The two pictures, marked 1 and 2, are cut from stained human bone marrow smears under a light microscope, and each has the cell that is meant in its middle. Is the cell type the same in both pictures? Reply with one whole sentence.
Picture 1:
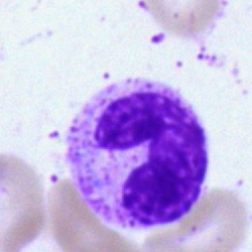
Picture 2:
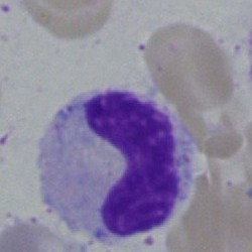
Yes, the two pictures both show band neutrophils.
